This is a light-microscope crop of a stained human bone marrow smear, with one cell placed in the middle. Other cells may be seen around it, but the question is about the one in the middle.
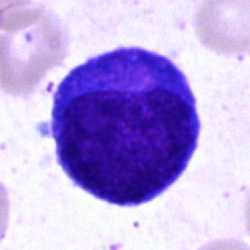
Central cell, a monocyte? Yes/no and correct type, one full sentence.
No, the cell found centrally in the crop is a blast, not a monocyte.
